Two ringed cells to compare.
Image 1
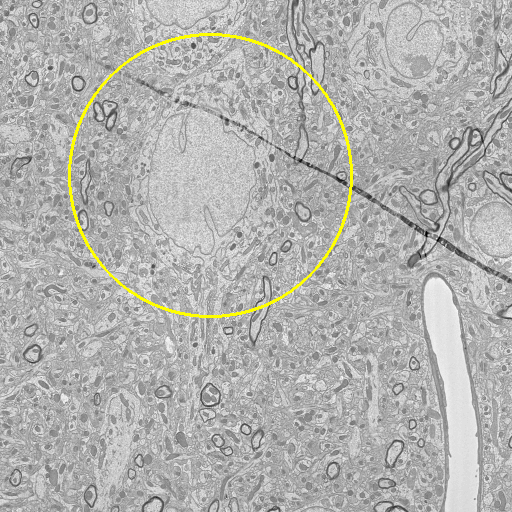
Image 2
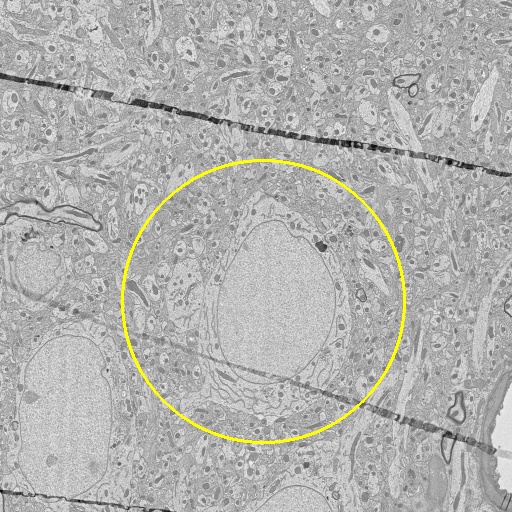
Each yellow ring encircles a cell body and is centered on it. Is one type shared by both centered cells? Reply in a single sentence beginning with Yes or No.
No, two types are found among the cells at the centers of the rings.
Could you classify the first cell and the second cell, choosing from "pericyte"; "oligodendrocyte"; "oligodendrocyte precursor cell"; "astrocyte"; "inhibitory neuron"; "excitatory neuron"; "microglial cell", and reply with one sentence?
The second cell is an excitatory neuron, while the first is an inhibitory neuron.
